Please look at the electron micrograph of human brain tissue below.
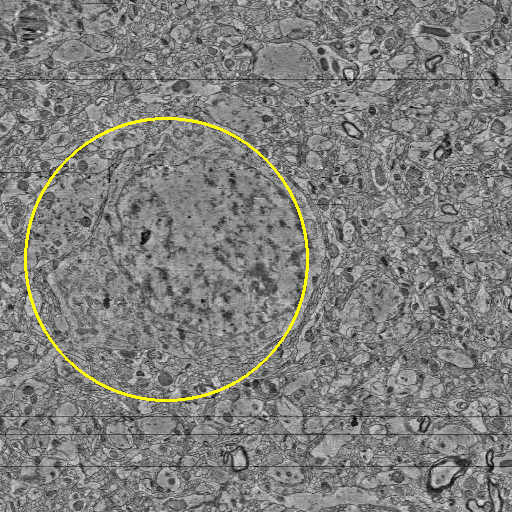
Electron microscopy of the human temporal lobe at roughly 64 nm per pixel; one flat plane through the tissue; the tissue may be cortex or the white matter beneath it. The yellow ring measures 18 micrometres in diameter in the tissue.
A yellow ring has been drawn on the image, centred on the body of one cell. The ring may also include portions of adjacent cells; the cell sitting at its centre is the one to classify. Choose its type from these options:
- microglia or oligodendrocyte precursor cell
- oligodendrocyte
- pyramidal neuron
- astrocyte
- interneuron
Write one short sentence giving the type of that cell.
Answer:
The cell in the middle of the ring is an interneuron.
